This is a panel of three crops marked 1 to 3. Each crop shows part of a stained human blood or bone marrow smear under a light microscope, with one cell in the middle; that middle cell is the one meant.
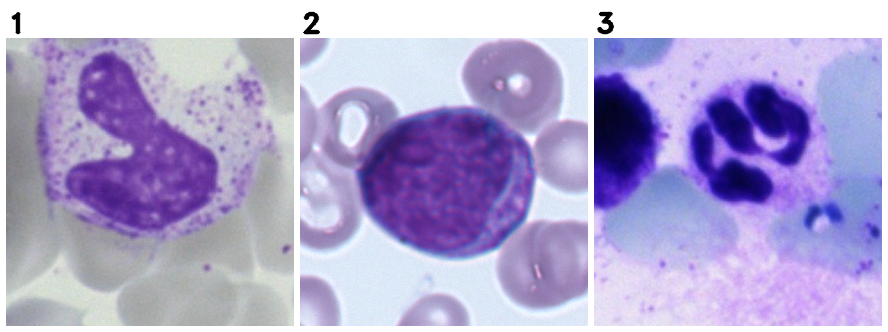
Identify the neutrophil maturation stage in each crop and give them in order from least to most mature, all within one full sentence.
From the least mature to the most mature, the order reads crop 2 (a promyelocyte), crop 1 (a band neutrophil) and crop 3 (a segmented neutrophil).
